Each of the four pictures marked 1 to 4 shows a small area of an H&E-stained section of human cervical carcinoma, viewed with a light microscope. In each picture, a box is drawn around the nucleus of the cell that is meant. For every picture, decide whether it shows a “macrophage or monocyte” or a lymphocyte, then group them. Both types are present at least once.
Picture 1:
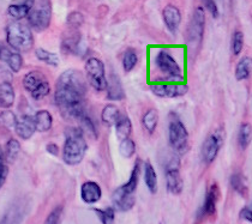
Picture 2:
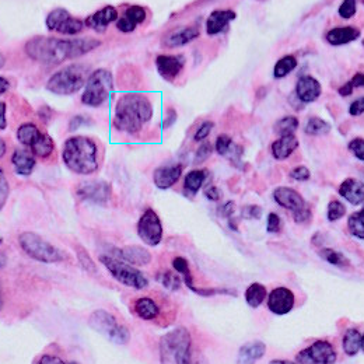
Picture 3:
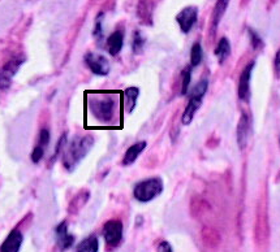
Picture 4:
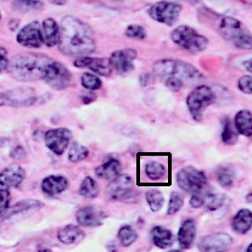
1: lymphocyte
2: macrophage or monocyte
3: macrophage or monocyte
4: lymphocyte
